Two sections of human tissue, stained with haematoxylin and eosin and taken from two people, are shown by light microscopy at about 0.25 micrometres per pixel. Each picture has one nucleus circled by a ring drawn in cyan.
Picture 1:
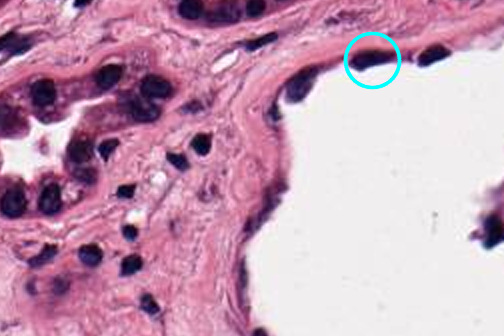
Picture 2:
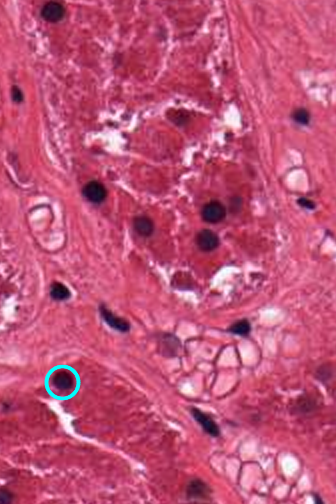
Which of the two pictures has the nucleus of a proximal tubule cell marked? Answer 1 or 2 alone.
2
